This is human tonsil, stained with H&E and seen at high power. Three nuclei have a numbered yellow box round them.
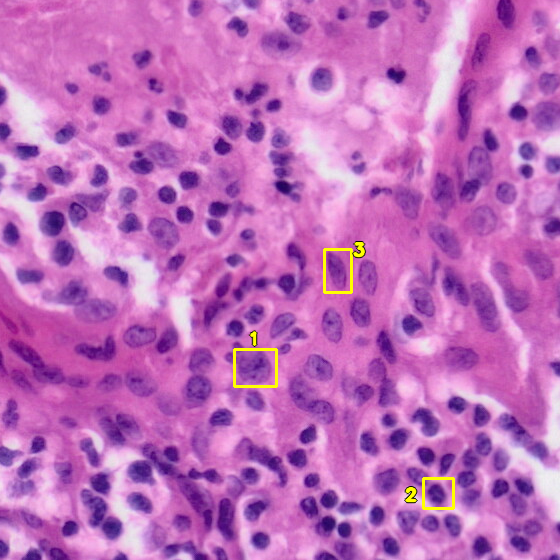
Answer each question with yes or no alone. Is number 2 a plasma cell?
yes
